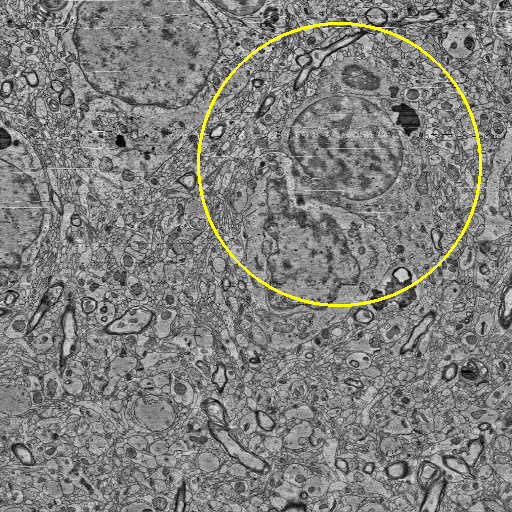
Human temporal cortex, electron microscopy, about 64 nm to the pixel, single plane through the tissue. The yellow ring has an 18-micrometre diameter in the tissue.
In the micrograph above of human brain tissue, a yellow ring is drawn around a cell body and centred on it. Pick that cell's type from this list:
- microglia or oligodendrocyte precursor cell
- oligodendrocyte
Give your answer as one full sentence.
Going by the list, an oligodendrocyte is the cell on which the yellow ring is centred.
